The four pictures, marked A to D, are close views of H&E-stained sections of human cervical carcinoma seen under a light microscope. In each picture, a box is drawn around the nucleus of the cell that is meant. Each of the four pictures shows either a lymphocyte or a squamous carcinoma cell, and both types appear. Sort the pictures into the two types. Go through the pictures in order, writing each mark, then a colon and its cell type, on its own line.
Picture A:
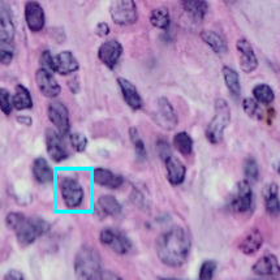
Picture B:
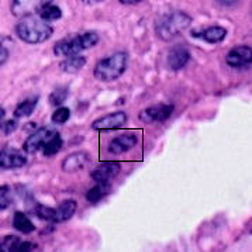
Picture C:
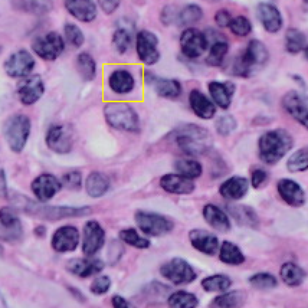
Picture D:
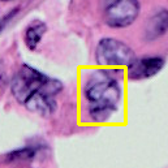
A: lymphocyte
B: squamous carcinoma cell
C: lymphocyte
D: squamous carcinoma cell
